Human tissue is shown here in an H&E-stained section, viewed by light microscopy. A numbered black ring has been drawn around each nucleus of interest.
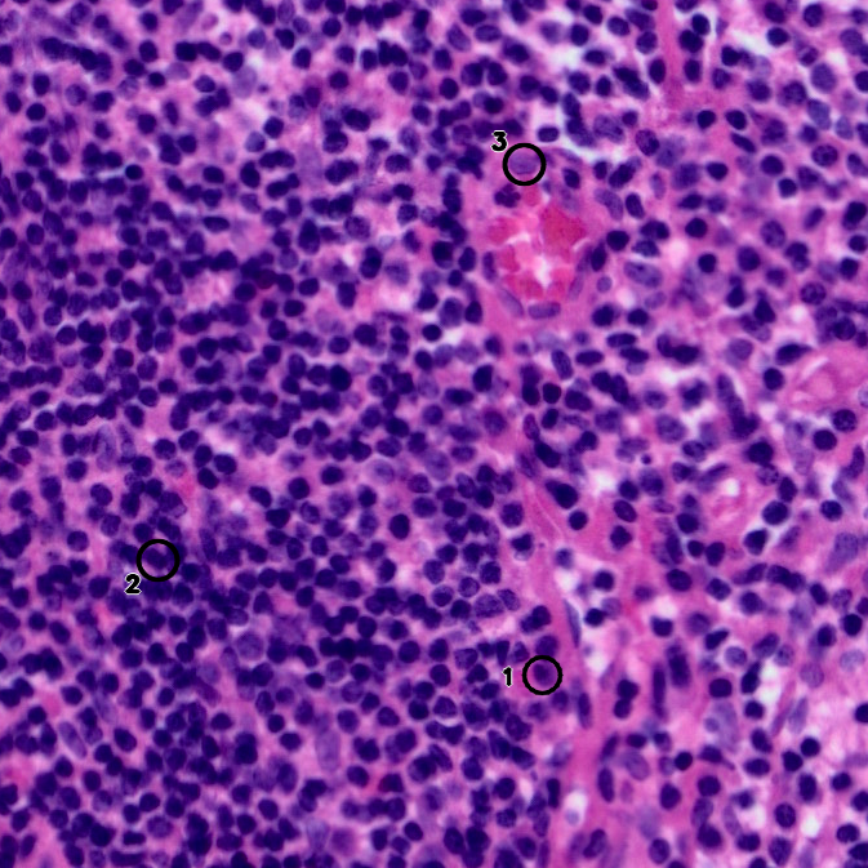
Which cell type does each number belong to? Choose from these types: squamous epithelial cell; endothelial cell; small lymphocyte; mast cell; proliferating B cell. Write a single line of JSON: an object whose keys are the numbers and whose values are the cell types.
{"1": "endothelial cell", "2": "small lymphocyte", "3": "endothelial cell"}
